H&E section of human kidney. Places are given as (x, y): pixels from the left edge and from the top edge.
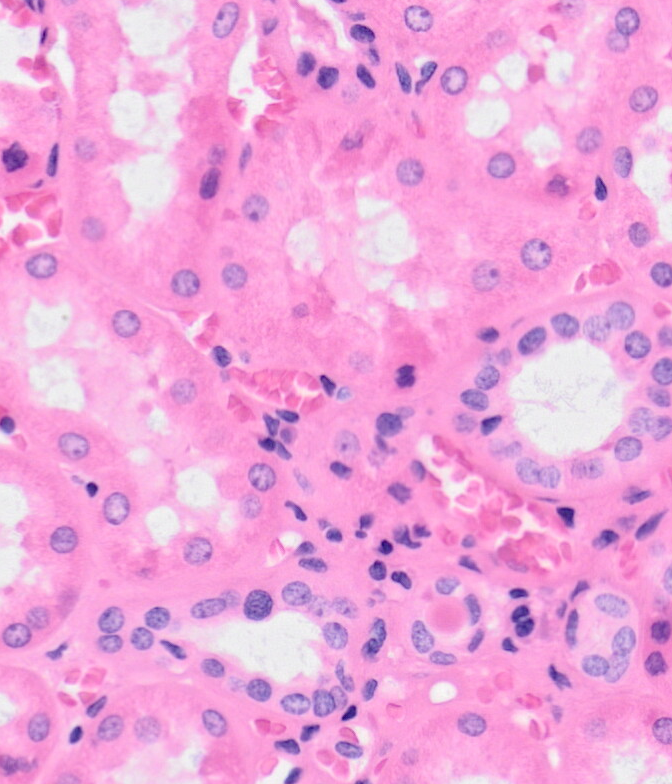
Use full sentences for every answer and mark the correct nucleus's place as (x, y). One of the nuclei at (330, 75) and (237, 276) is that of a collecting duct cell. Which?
The nucleus at (330, 75) is the one that belongs to a collecting duct cell.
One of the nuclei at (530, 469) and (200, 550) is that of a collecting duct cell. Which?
The pair contains one nucleus of a collecting duct cell, namely the one at (530, 469).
